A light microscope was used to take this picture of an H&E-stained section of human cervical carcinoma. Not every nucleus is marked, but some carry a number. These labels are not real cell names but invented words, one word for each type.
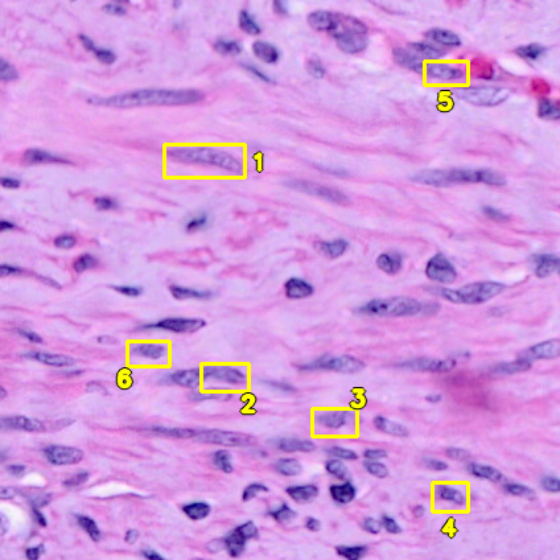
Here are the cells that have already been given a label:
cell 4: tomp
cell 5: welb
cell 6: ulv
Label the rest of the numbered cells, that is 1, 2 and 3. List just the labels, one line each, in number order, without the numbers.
tomp
tomp
tomp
